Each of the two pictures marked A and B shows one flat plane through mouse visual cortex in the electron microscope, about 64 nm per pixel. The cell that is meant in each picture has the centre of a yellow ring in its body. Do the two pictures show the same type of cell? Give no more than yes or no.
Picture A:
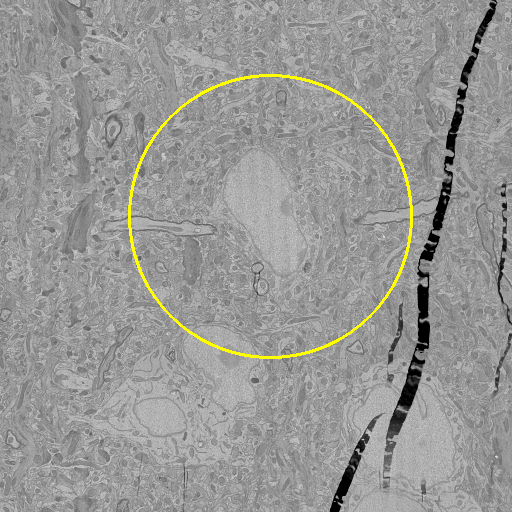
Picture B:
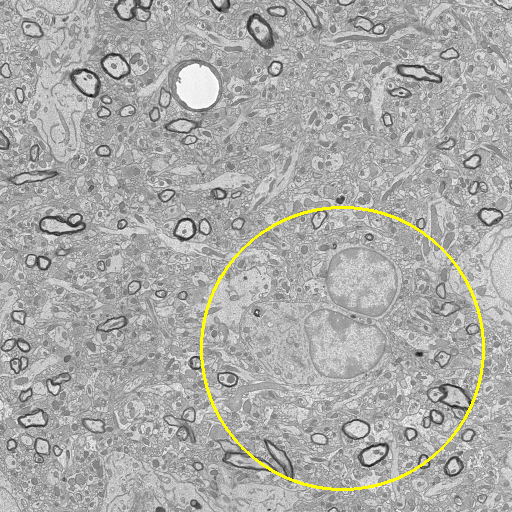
no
